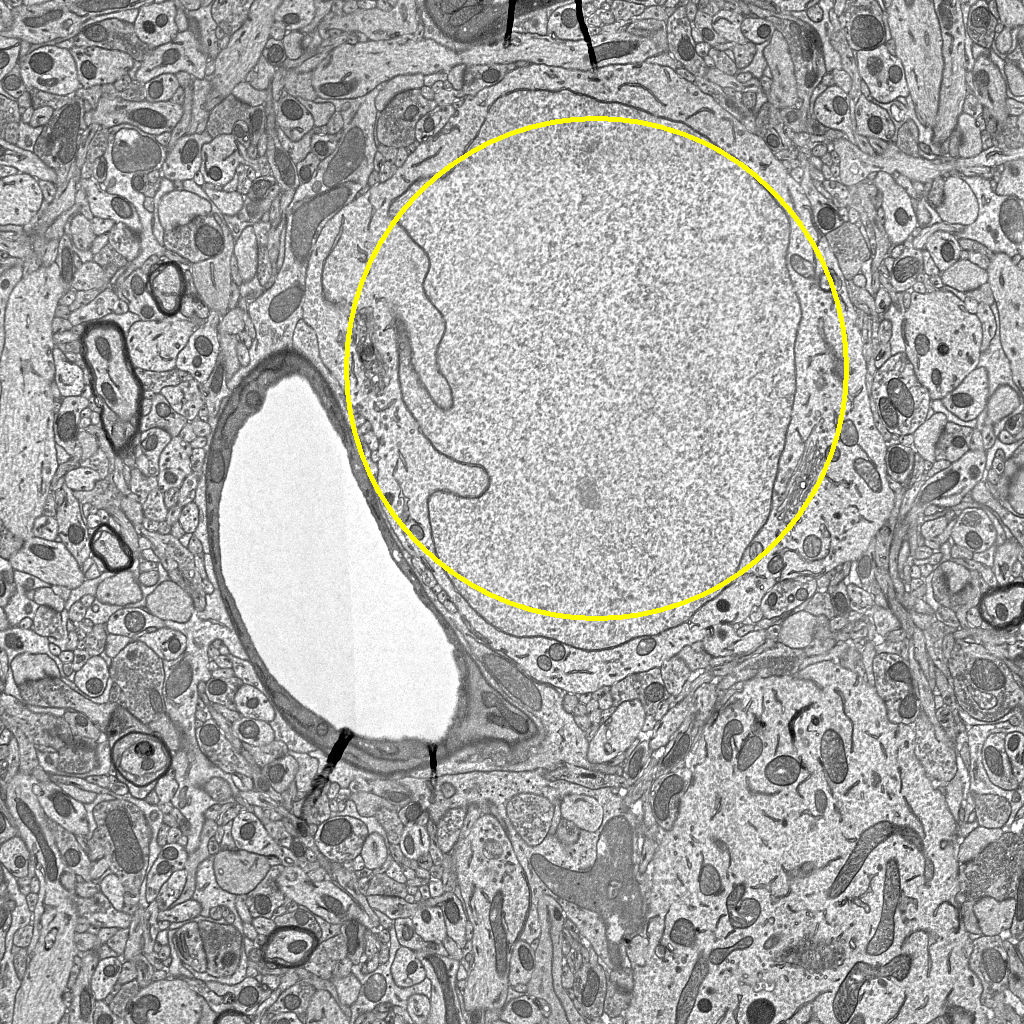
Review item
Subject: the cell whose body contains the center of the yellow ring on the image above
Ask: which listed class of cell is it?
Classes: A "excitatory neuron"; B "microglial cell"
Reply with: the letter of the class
A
